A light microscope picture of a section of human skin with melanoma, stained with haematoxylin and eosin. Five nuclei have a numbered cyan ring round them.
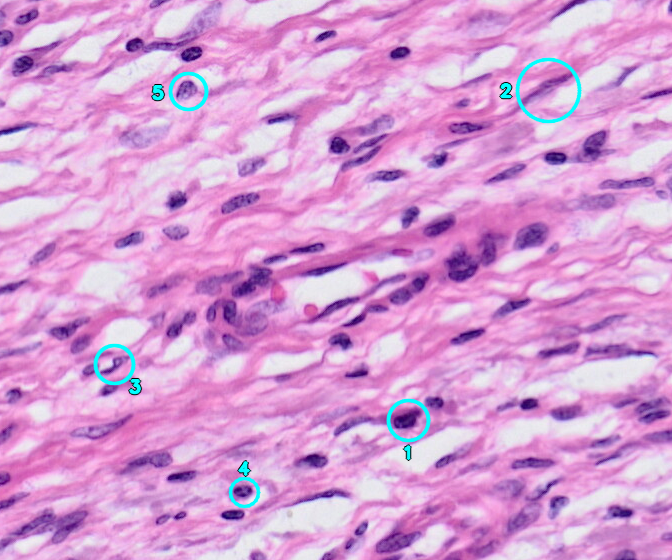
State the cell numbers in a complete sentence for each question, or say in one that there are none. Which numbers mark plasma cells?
The cells which carry the numbers 1 and 4 are plasma cells.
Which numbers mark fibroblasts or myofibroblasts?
The cells with the numbers 2 and 3 are fibroblasts or myofibroblasts.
